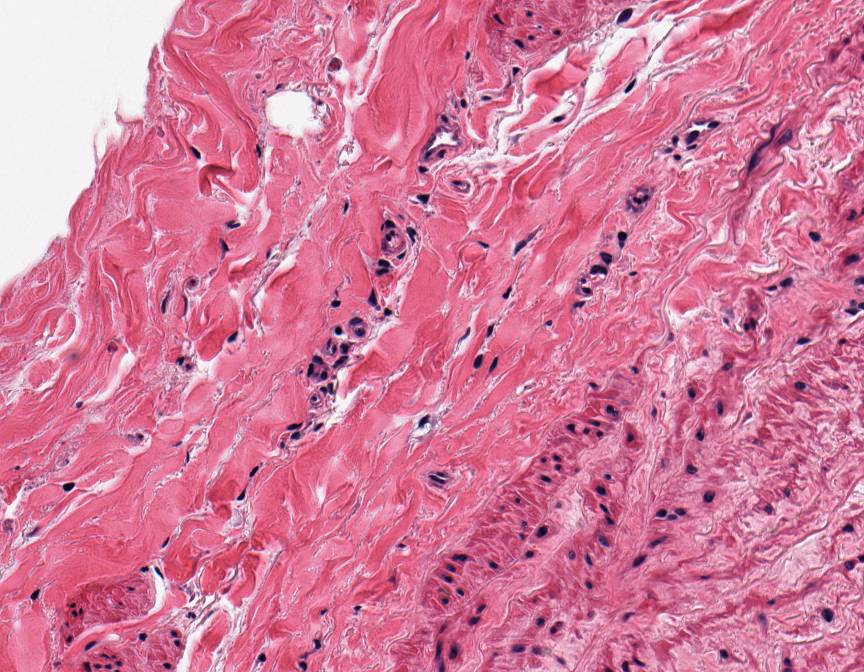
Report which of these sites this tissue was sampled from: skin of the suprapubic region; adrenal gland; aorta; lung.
aorta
